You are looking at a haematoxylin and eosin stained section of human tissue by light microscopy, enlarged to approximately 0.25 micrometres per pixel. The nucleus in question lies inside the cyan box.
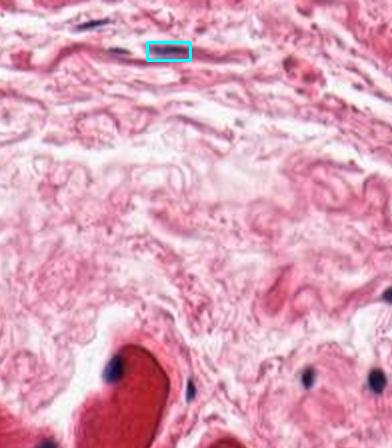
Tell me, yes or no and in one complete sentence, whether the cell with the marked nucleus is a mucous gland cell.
No, the marked nucleus belongs to a supporting cell, and a mucous gland cell is not its owner.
